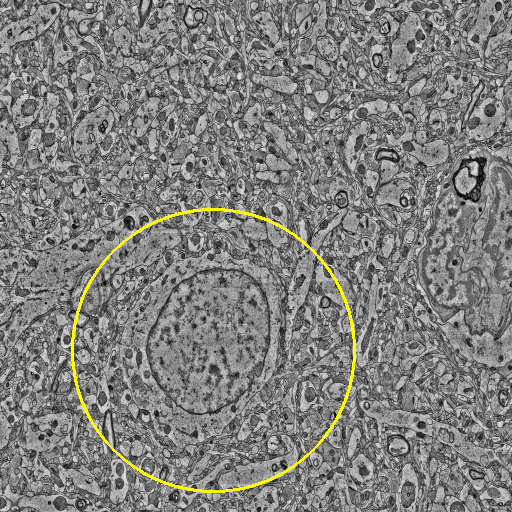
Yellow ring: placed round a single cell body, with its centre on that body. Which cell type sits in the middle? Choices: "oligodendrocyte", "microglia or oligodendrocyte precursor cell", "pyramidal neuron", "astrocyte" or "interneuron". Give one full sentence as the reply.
It is an interneuron whose cell body sits at the centre of the yellow ring.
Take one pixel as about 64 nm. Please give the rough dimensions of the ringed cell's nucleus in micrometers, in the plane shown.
The nucleus measures about 10 by 7 micrometres in this plane.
